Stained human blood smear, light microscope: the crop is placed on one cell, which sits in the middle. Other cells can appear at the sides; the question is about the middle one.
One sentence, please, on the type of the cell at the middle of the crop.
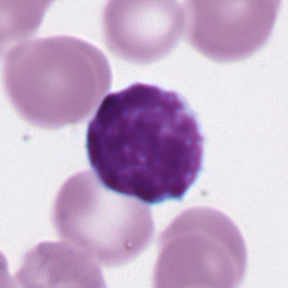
The cell at the centre of the field is a typical lymphocyte.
